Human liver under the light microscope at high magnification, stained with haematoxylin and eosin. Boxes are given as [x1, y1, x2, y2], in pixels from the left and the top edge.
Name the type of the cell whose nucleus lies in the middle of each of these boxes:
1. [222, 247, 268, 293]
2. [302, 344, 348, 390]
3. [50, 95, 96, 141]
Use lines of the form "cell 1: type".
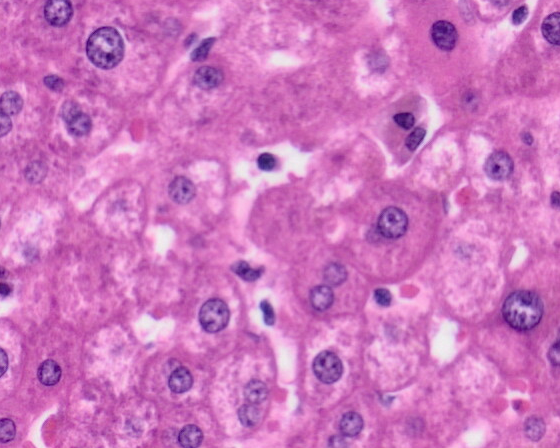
cell 1: Kupffer cell
cell 2: hepatocyte
cell 3: hepatocyte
